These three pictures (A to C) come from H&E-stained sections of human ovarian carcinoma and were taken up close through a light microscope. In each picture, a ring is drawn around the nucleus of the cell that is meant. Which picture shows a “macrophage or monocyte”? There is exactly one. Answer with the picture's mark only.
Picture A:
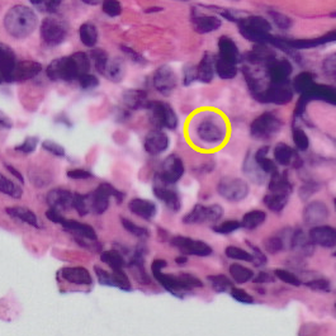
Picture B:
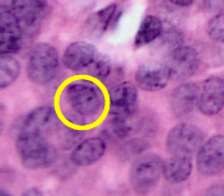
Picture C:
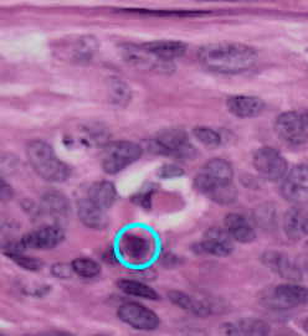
A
